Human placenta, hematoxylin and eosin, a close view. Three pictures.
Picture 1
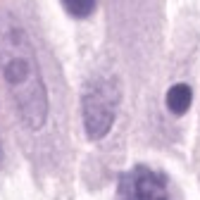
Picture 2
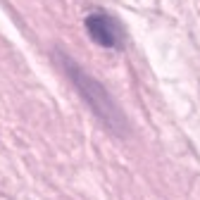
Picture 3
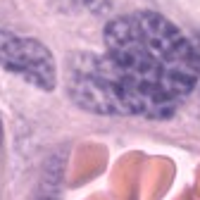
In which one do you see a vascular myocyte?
In picture 2.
